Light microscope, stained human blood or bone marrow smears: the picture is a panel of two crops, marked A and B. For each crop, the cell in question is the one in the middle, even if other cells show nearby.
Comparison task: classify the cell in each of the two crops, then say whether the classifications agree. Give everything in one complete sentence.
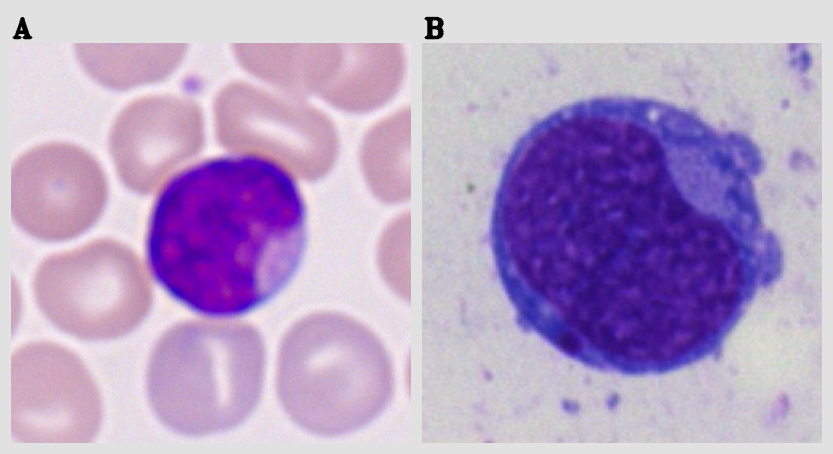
Yes, the two central cells, one per crop, are blasts.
